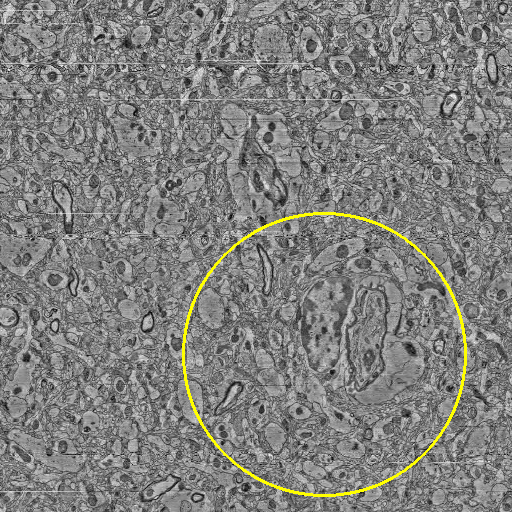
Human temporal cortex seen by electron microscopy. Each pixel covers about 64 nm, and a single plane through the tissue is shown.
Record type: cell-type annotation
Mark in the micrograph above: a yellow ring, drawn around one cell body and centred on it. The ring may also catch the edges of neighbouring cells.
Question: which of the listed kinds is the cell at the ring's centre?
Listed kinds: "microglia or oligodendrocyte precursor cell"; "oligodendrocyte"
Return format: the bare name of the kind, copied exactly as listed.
microglia or oligodendrocyte precursor cell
